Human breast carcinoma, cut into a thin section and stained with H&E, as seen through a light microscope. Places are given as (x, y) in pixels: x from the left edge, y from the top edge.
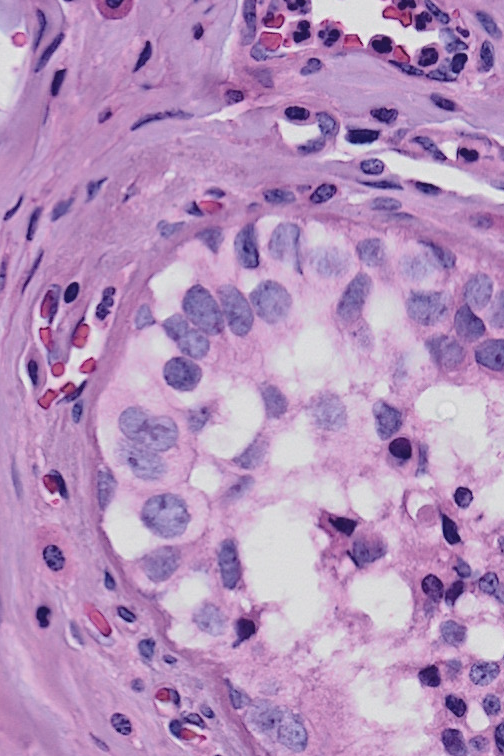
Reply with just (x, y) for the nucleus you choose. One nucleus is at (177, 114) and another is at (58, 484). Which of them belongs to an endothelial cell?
(58, 484)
